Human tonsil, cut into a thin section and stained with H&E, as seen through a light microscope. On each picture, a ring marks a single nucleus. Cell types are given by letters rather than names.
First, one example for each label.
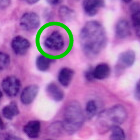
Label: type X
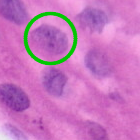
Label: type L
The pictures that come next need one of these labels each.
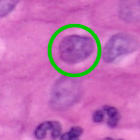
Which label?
type L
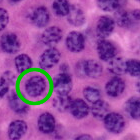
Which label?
type X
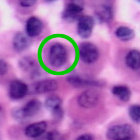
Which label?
type X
